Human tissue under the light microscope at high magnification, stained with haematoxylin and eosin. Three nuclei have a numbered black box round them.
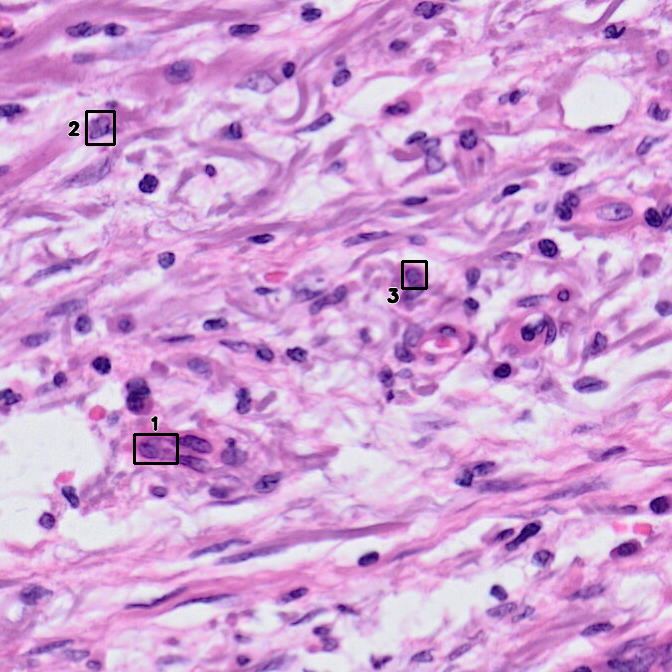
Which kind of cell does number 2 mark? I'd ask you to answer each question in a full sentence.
At number 2, the marked cell is a macrophage or monocyte.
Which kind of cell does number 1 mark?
Looking at the numbered marks, cell 1 is an endothelial cell.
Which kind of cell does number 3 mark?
Among the marked cells, number 3 is an endothelial cell.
